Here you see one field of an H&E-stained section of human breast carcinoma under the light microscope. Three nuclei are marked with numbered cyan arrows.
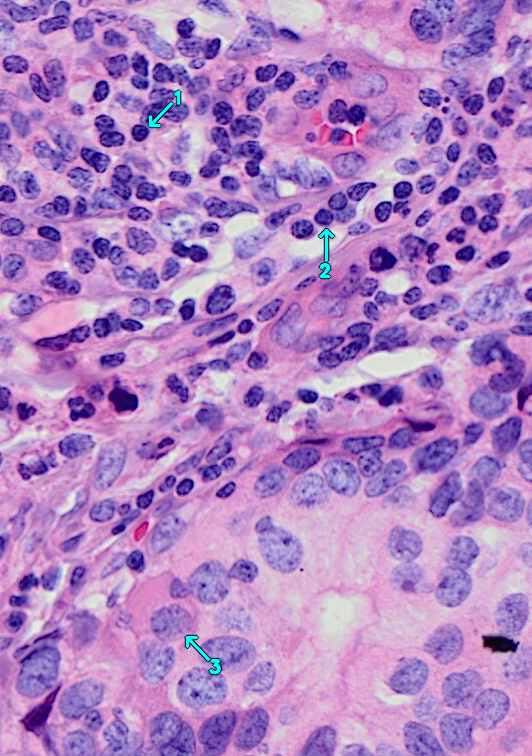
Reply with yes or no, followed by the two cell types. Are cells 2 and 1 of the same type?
Yes, in short, cells 2 and 1 are both lymphocytes.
